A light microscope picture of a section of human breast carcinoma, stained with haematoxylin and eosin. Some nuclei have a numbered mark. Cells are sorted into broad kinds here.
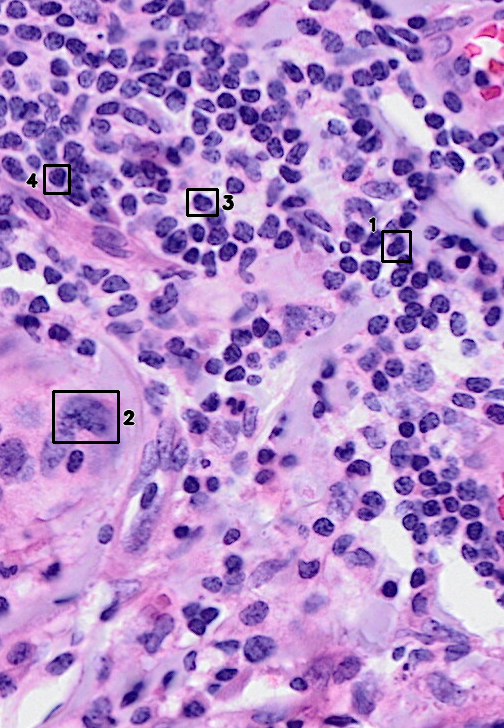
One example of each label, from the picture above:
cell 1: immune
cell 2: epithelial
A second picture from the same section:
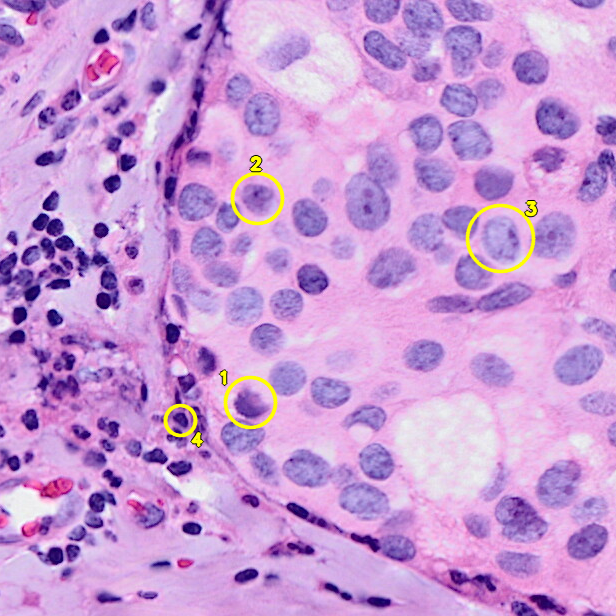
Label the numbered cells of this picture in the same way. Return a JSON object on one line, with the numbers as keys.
{"1": "epithelial", "2": "epithelial", "3": "epithelial", "4": "immune"}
